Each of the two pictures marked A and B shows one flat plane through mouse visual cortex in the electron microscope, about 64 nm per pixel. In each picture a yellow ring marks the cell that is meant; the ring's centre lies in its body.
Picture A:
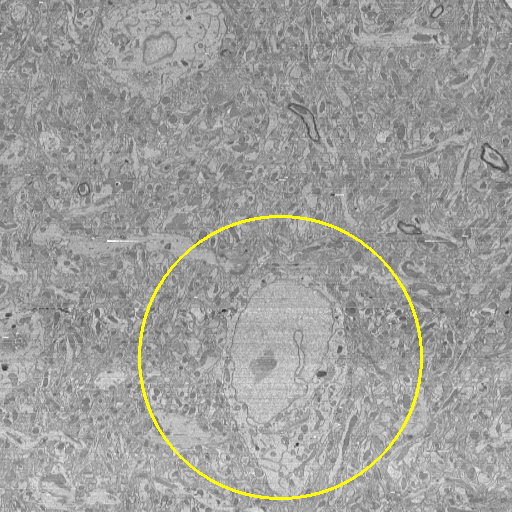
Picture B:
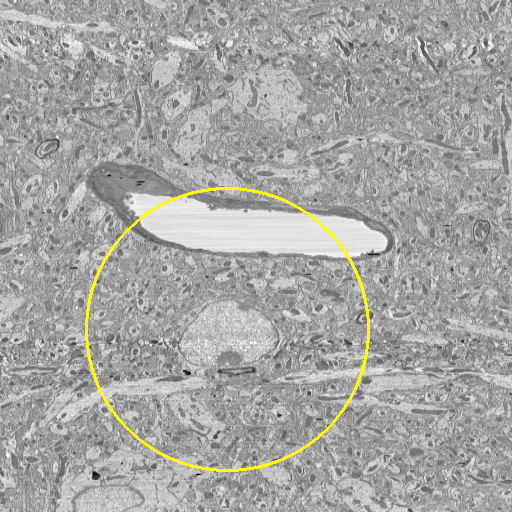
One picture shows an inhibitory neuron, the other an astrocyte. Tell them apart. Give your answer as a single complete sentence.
The cell in picture A is an inhibitory neuron, and the one in picture B is an astrocyte.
